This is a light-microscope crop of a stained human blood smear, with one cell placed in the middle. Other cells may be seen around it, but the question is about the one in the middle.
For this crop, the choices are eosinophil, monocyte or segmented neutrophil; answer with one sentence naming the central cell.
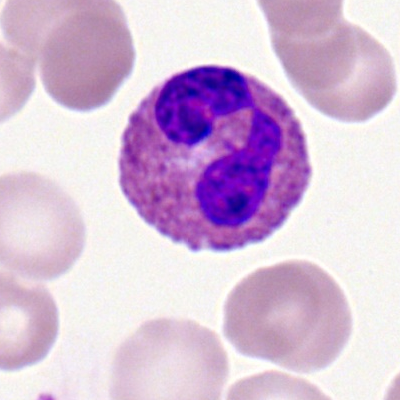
The central cell, amid any neighbouring cells, is an eosinophil.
